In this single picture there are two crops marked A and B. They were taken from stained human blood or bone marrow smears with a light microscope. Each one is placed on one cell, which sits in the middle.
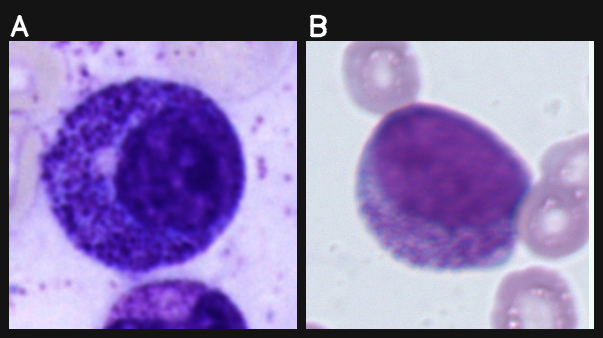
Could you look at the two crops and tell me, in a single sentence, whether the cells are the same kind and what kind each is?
Yes, both crops show promyelocytes, the one and the other.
